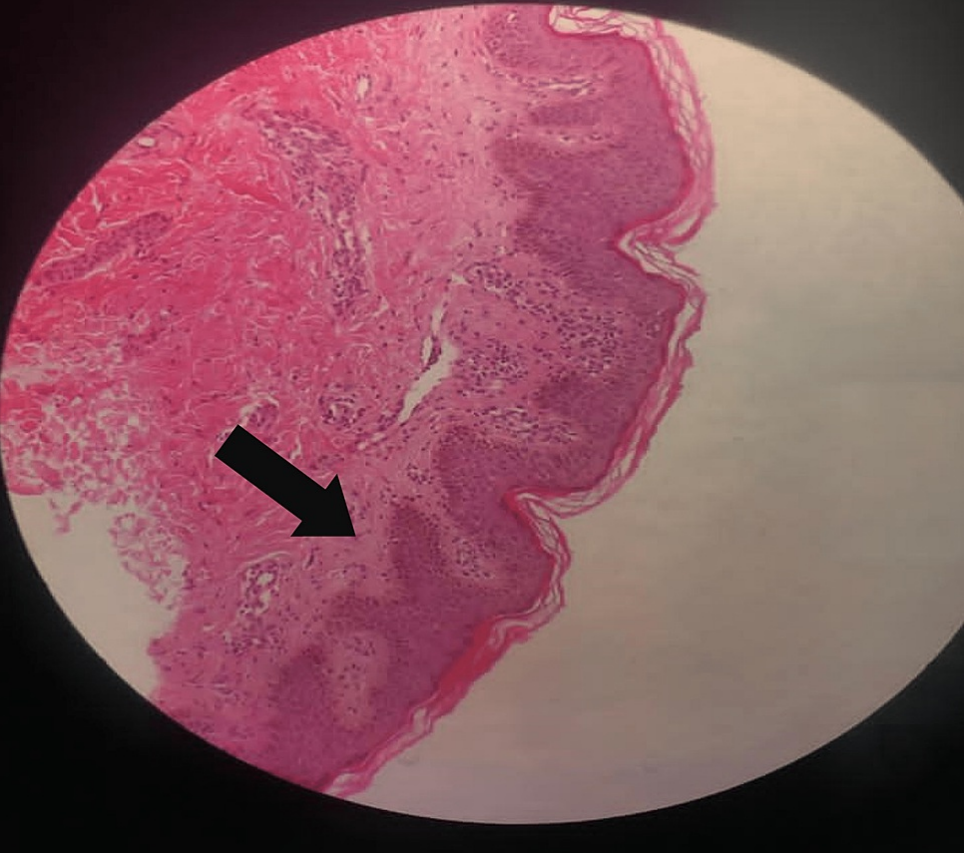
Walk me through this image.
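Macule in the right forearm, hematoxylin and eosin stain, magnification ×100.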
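A strip of skin shows a purple epidermis under a thin, wavy, pink layer of surface keratin, above a pale pink dermis of loose collagen with small vessels and scattered clusters of dark nuclei. The lower edge of the epidermis forms finger-like downward projections whose basal parts stain darker than the layers above. These are mildly elongated, digitate rete ridges with a darkened, hyperpigmented basal layer.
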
